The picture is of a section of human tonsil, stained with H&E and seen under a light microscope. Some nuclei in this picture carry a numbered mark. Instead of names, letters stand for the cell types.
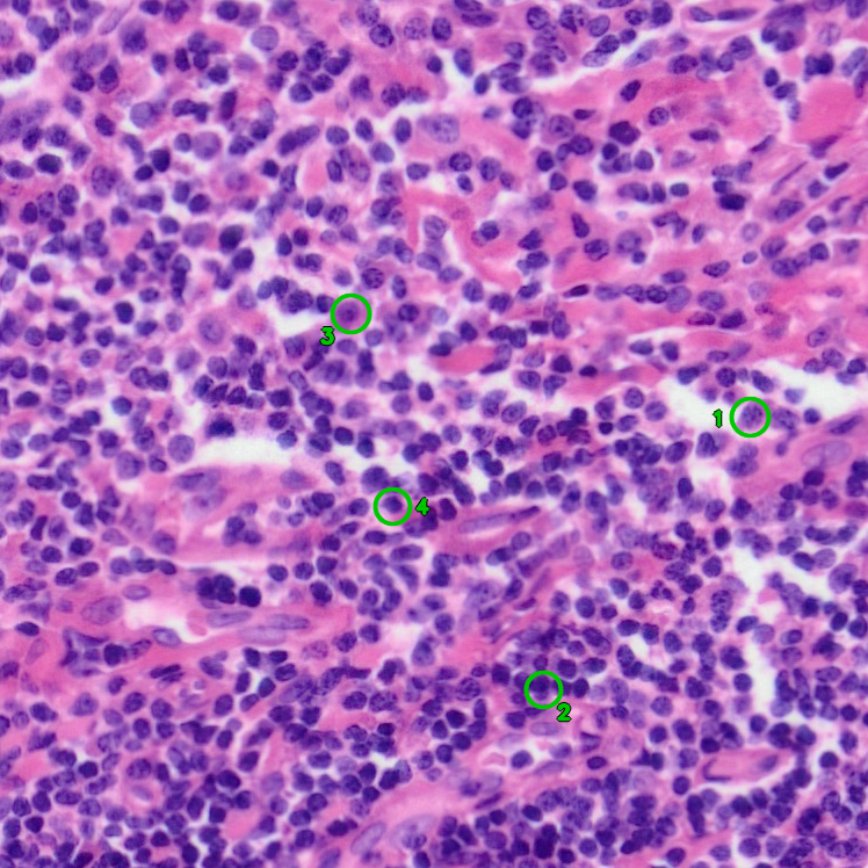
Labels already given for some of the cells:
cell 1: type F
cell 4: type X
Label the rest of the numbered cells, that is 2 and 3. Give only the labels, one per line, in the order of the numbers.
type X
type F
